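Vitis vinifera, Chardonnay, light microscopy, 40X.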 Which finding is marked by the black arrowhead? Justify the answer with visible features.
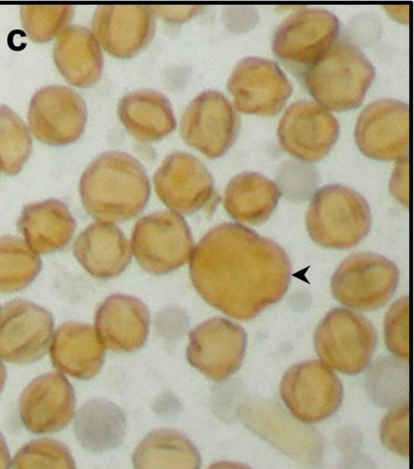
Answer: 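Abnormal pollen grains. The marked grain is far larger than the grains around it. Its outline is irregular and lobed. It lacks the dark longitudinal furrows seen in neighbouring grains.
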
